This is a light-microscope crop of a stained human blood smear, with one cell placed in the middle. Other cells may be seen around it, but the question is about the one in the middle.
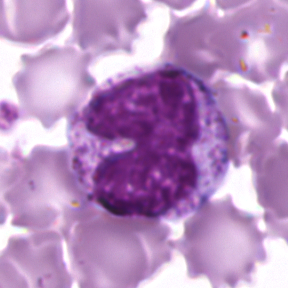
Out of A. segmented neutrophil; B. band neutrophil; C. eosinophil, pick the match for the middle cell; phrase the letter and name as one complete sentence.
The cell centered in the crop is a band neutrophil, making option B the correct pick.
